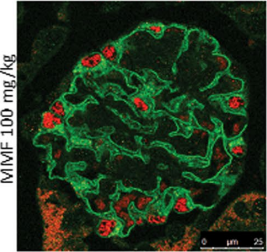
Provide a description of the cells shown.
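A glomerular cross section shows a lobulated tuft of capillary loops outlined in green. Several podocytes with red nuclei lie along the outer surfaces of the loops, distributed around the tuft. The adjacent tubules outside the glomerulus show weak orange background.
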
